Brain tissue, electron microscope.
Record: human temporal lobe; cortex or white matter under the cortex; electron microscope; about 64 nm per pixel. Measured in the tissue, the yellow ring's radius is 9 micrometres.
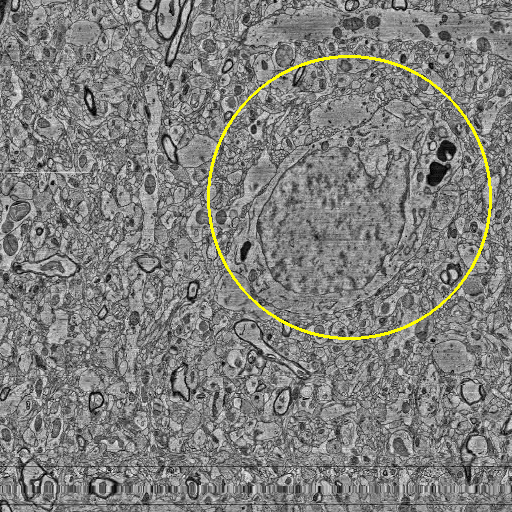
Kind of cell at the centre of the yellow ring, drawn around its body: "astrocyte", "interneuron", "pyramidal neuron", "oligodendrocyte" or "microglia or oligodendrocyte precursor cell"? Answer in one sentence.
The ring's centre falls on an interneuron.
